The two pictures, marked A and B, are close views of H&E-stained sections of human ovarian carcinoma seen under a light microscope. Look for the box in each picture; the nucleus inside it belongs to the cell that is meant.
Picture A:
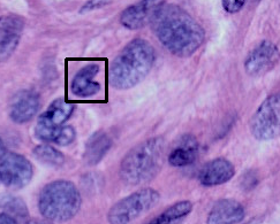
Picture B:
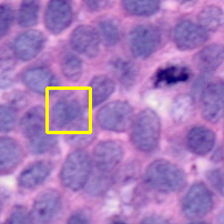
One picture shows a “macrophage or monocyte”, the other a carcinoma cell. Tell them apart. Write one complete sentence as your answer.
In picture A the cell is a “macrophage or monocyte”; in picture B, a carcinoma cell.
